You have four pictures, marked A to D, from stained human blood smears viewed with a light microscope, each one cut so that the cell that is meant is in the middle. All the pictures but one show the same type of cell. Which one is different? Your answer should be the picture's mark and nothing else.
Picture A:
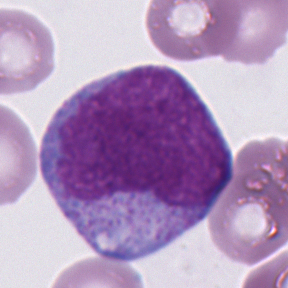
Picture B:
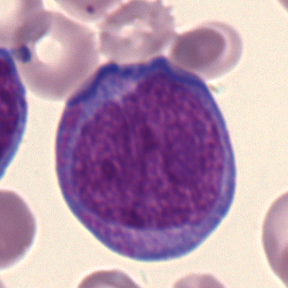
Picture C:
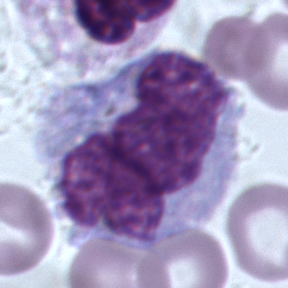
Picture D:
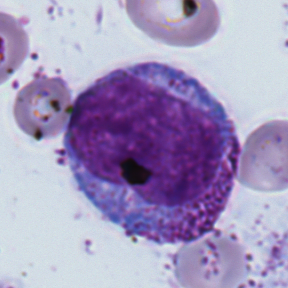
C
